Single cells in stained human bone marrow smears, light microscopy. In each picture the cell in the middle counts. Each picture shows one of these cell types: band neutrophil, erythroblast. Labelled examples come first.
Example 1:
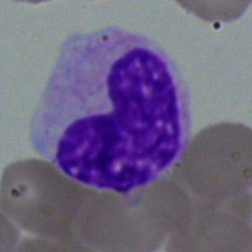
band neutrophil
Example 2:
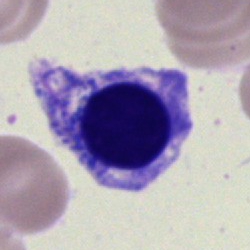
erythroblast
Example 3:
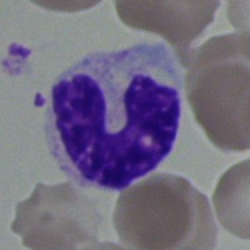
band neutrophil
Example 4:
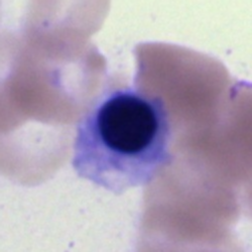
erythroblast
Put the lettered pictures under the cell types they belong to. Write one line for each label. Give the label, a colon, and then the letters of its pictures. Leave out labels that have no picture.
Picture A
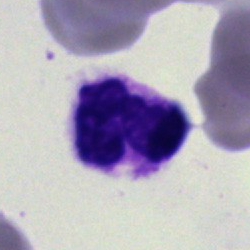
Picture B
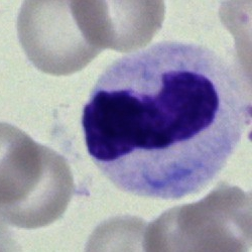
band neutrophil: A, B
